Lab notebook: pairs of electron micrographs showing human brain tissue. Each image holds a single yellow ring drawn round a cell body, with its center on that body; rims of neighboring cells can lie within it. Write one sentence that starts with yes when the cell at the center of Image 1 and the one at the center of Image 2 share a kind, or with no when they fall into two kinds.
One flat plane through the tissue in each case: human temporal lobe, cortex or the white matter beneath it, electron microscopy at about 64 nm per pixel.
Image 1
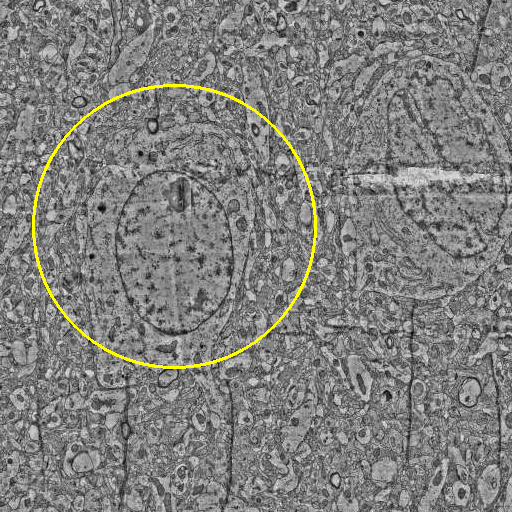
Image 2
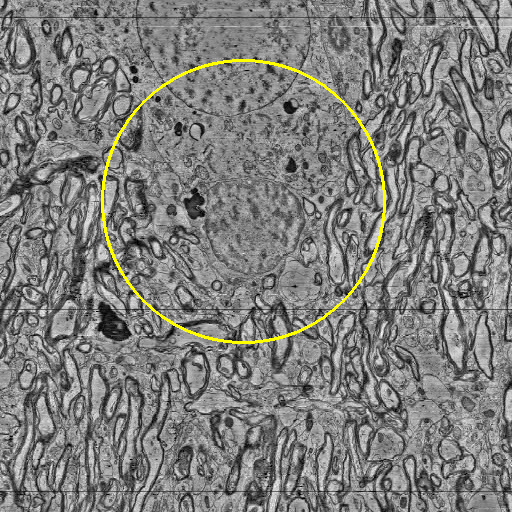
No, the centered cell in Image 1 and the centered cell in Image 2 are of two kinds.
